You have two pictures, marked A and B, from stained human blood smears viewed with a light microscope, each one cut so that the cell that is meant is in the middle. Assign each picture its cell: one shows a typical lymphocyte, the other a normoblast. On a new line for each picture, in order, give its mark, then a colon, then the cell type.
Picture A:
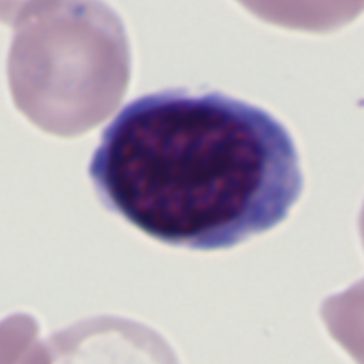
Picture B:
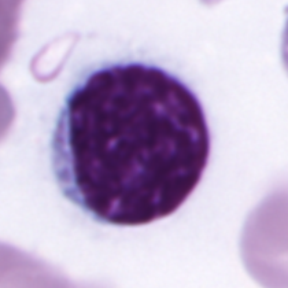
A: normoblast
B: typical lymphocyte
